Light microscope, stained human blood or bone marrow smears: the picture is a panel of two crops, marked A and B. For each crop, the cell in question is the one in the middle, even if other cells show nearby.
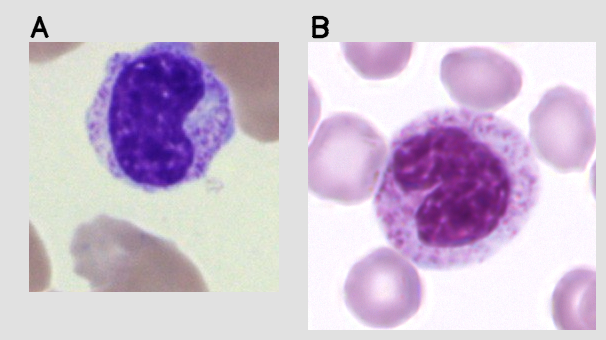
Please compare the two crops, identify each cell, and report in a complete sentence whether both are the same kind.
No, the cell of interest in crop A is a metamyelocyte, and in crop B it is a band neutrophil.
